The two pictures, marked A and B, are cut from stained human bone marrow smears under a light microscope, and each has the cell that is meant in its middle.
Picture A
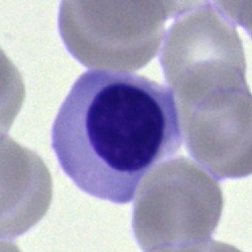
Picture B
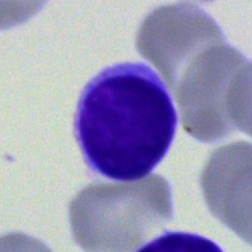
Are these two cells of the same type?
no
